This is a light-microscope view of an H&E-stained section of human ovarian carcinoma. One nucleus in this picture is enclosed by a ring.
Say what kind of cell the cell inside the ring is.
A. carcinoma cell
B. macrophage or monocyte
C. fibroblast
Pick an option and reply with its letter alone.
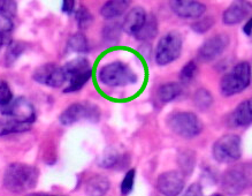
B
